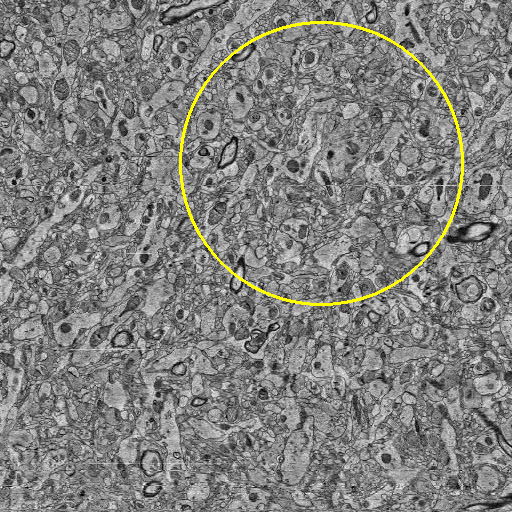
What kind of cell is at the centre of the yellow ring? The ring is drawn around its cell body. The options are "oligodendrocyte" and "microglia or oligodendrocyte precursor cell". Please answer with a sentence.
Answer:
The yellow ring marks the cell body of an oligodendrocyte.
